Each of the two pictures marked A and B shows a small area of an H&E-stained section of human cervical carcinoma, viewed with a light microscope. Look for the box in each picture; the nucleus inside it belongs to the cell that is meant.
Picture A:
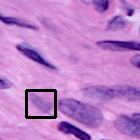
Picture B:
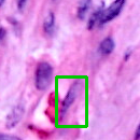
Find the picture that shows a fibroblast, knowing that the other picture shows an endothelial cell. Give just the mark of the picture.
A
